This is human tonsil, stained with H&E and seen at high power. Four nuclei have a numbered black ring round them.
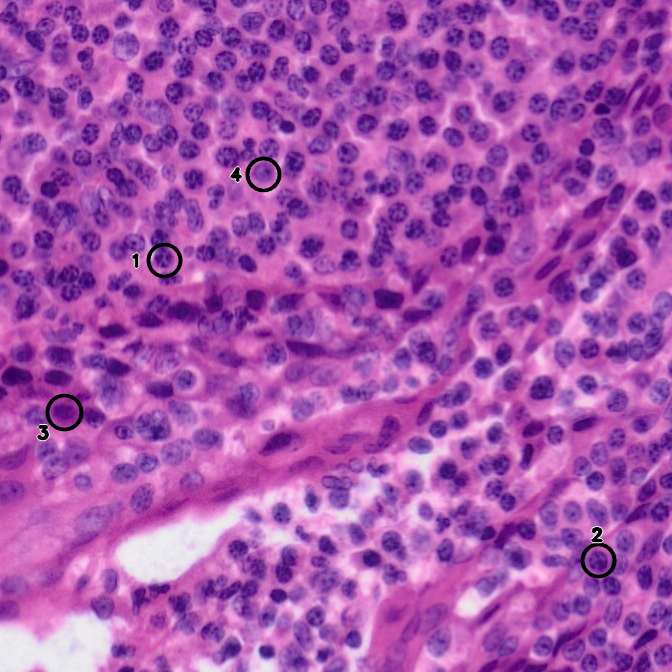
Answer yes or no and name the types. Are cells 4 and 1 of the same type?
Yes, both are plasma cells.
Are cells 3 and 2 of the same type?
No, cell 3 is a squamous epithelial cell and cell 2 is a plasma cell.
